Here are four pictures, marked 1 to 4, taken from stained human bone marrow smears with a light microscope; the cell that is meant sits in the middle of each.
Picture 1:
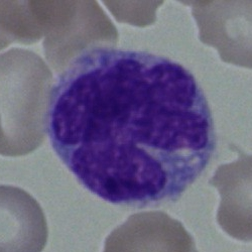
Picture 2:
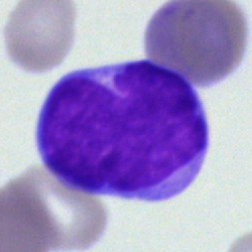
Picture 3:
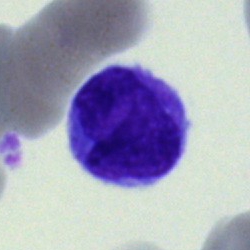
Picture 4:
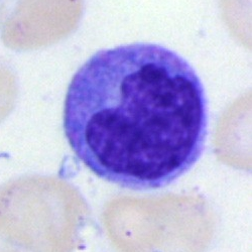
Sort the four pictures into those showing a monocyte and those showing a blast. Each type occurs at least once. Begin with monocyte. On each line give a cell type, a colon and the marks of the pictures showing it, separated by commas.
monocyte: 1, 3, 4
blast: 2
